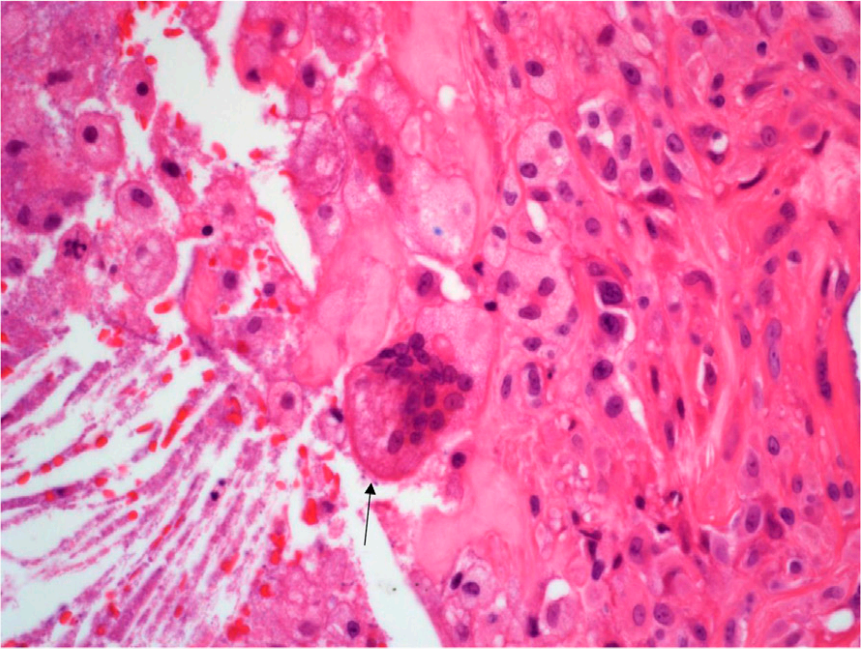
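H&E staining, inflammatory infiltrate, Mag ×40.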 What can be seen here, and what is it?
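The giant cell is large, with abundant pink cytoplasm and numerous oval nuclei crowded together in an irregular cluster. To one side lie empty, elongated needle-shaped clefts with pink amorphous debris and scattered red blood cells. Around it are many polygonal cells with round to oval nuclei, some with pale or vacuolated cytoplasm, set among pink fibrous strands.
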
